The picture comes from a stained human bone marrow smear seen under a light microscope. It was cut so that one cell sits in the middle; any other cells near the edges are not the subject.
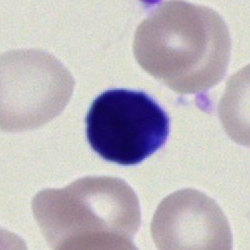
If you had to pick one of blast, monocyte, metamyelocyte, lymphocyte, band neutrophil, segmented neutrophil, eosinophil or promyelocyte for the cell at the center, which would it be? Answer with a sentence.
Among the cells in view, the one in the middle is a lymphocyte.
